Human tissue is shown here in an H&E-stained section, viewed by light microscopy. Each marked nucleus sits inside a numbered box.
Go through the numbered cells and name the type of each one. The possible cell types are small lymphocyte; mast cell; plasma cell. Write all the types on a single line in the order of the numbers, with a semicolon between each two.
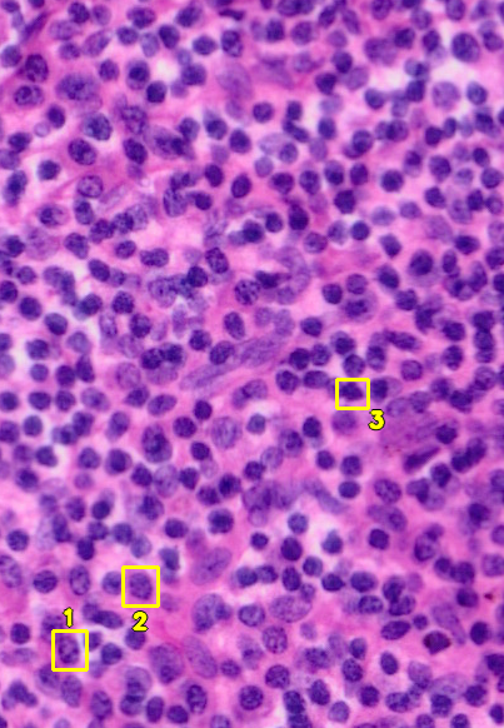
plasma cell; plasma cell; small lymphocyte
